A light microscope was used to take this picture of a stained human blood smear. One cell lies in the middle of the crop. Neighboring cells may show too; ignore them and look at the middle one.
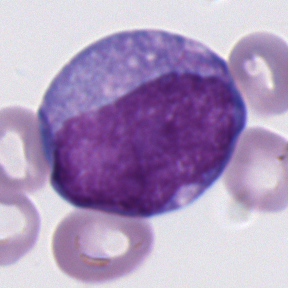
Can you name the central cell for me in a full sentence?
Present in the middle of the crop is a promyelocyte.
